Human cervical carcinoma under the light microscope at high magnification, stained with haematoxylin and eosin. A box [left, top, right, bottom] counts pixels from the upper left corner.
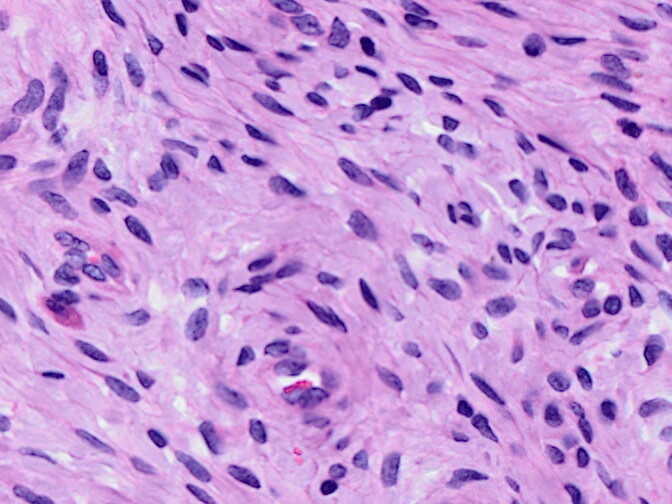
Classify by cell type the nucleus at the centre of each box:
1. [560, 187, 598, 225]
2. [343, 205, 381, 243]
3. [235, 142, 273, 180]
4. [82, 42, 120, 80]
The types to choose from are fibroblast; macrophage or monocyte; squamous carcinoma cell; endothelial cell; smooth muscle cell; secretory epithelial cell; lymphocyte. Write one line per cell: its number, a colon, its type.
1: fibroblast
2: fibroblast
3: fibroblast
4: lymphocyte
